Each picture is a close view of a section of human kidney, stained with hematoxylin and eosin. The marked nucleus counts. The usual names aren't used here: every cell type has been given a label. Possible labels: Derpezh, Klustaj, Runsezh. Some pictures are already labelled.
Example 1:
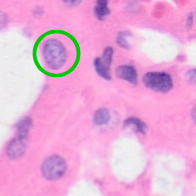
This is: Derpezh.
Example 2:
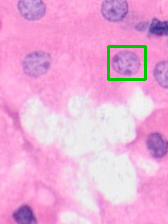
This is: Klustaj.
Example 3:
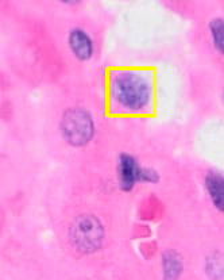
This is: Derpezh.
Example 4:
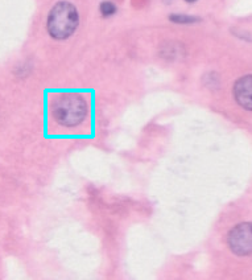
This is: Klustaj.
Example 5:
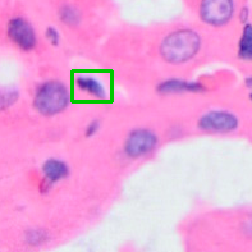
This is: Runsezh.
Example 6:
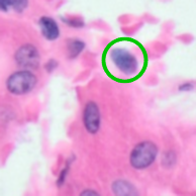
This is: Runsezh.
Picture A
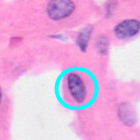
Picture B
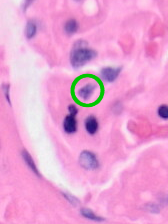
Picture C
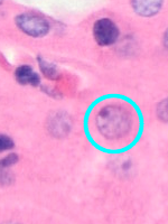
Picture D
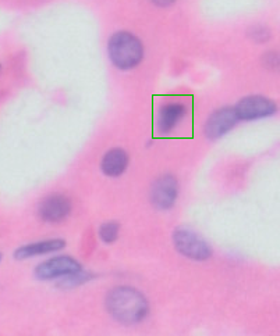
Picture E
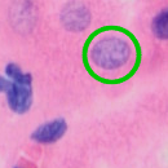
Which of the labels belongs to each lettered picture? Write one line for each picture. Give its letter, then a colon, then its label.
A: Derpezh.
B: Runsezh.
C: Klustaj.
D: Runsezh.
E: Klustaj.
